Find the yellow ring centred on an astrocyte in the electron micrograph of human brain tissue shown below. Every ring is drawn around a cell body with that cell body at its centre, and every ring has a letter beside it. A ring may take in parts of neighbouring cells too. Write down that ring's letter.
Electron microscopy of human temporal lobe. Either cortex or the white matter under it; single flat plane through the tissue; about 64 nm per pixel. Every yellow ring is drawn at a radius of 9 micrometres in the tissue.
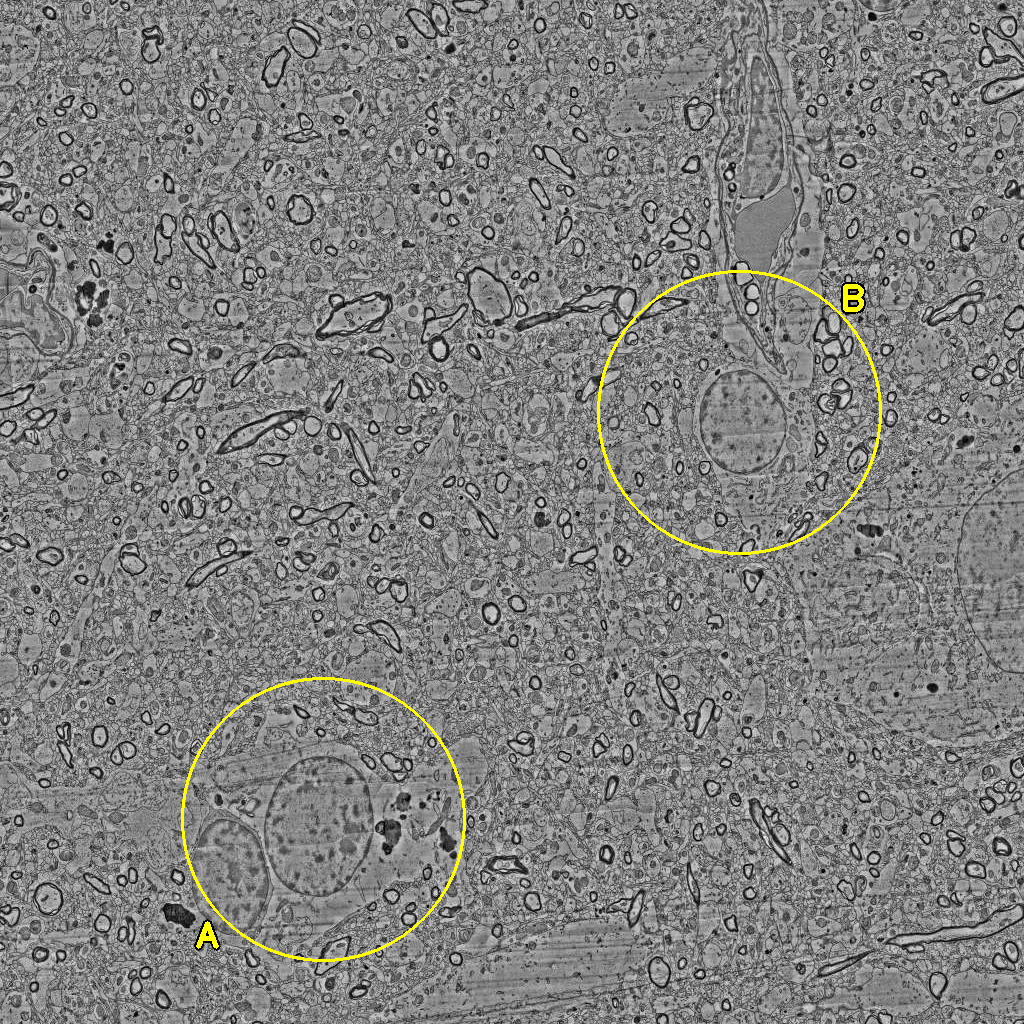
A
